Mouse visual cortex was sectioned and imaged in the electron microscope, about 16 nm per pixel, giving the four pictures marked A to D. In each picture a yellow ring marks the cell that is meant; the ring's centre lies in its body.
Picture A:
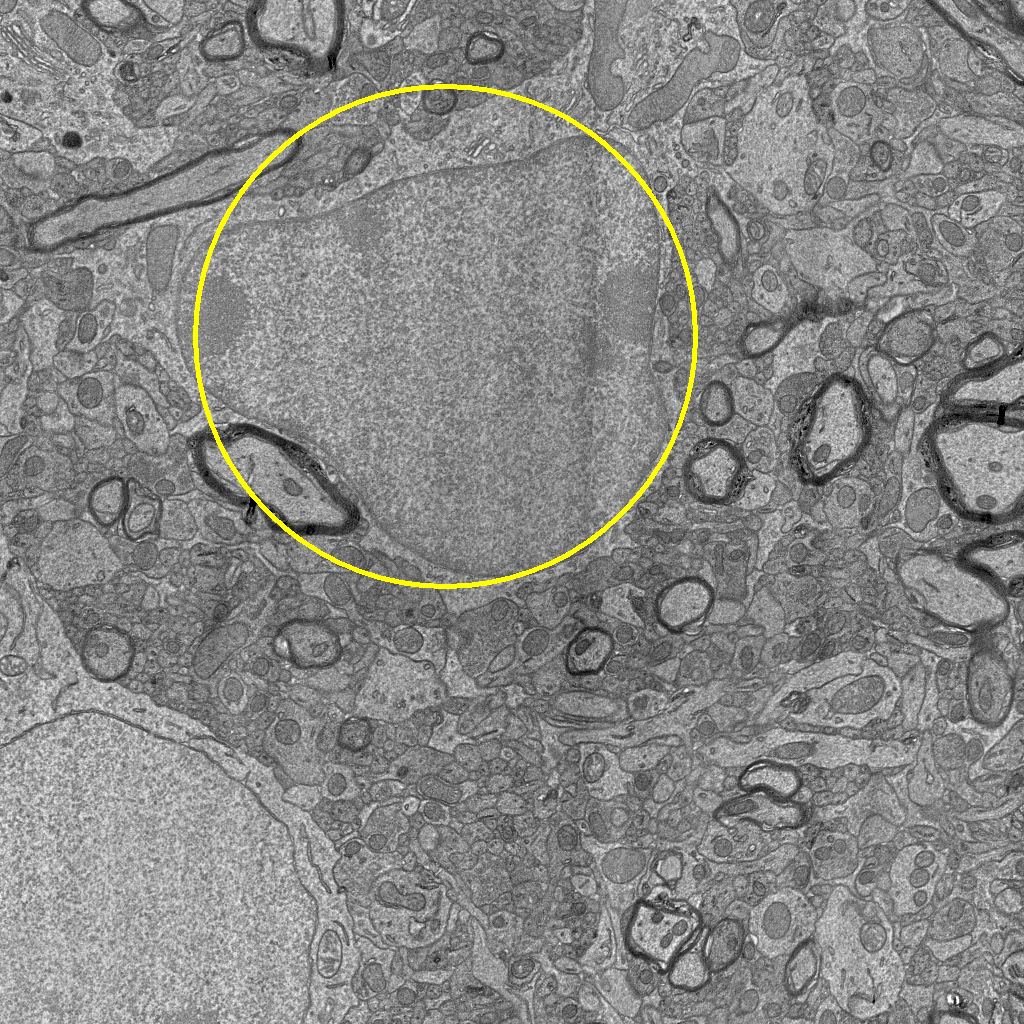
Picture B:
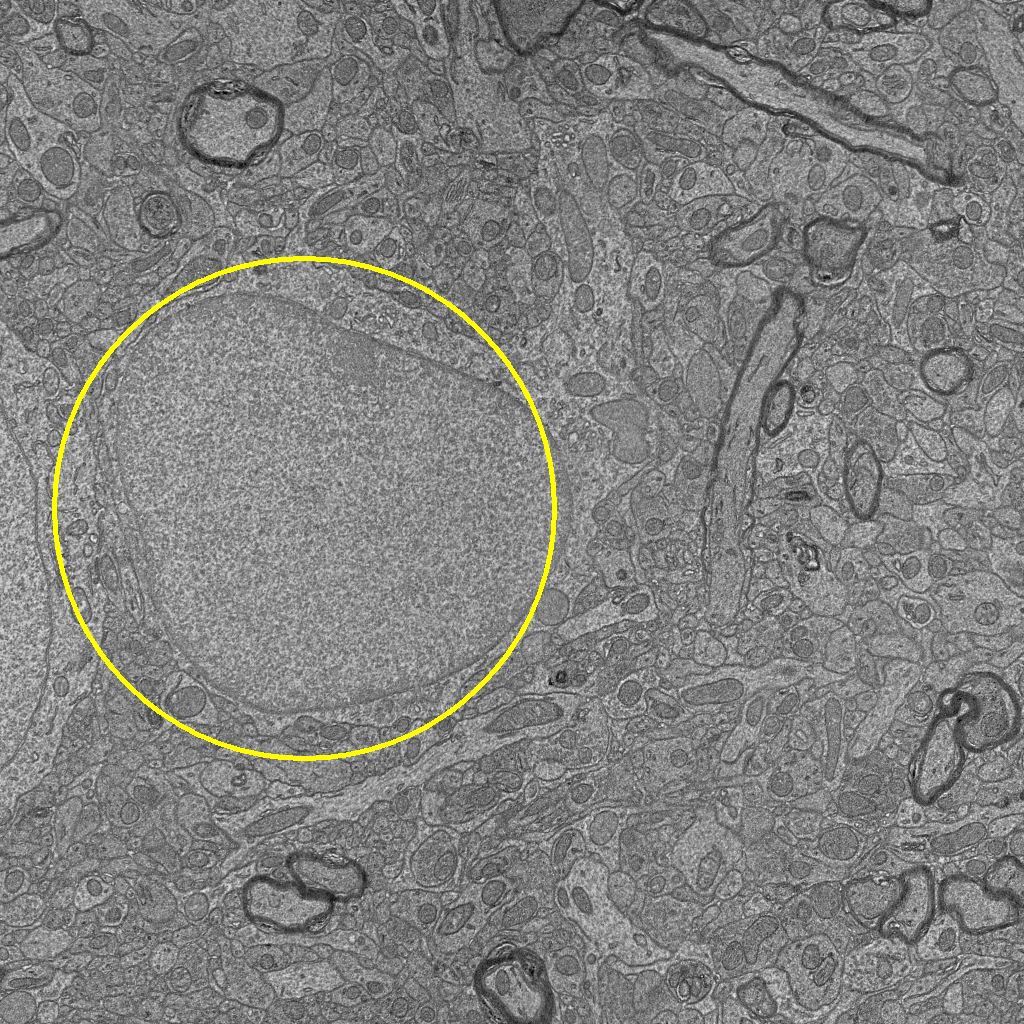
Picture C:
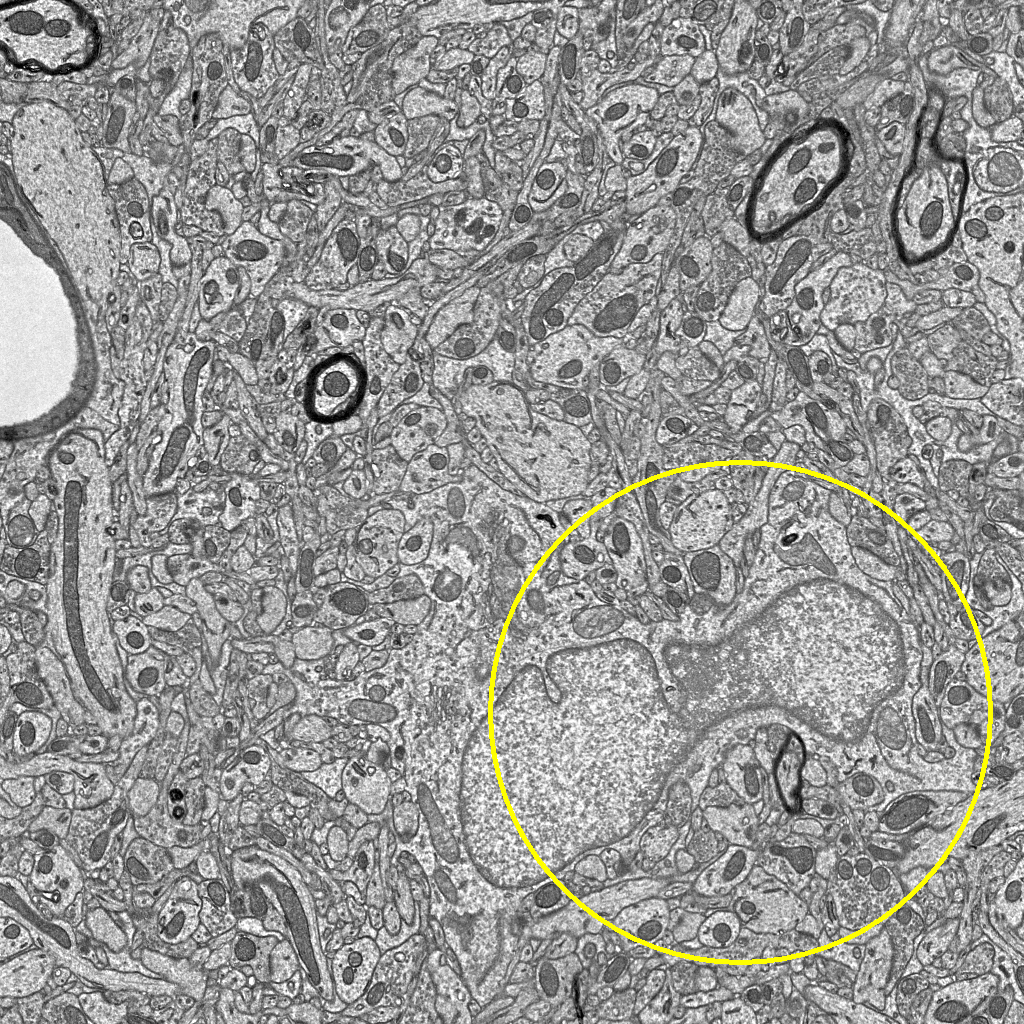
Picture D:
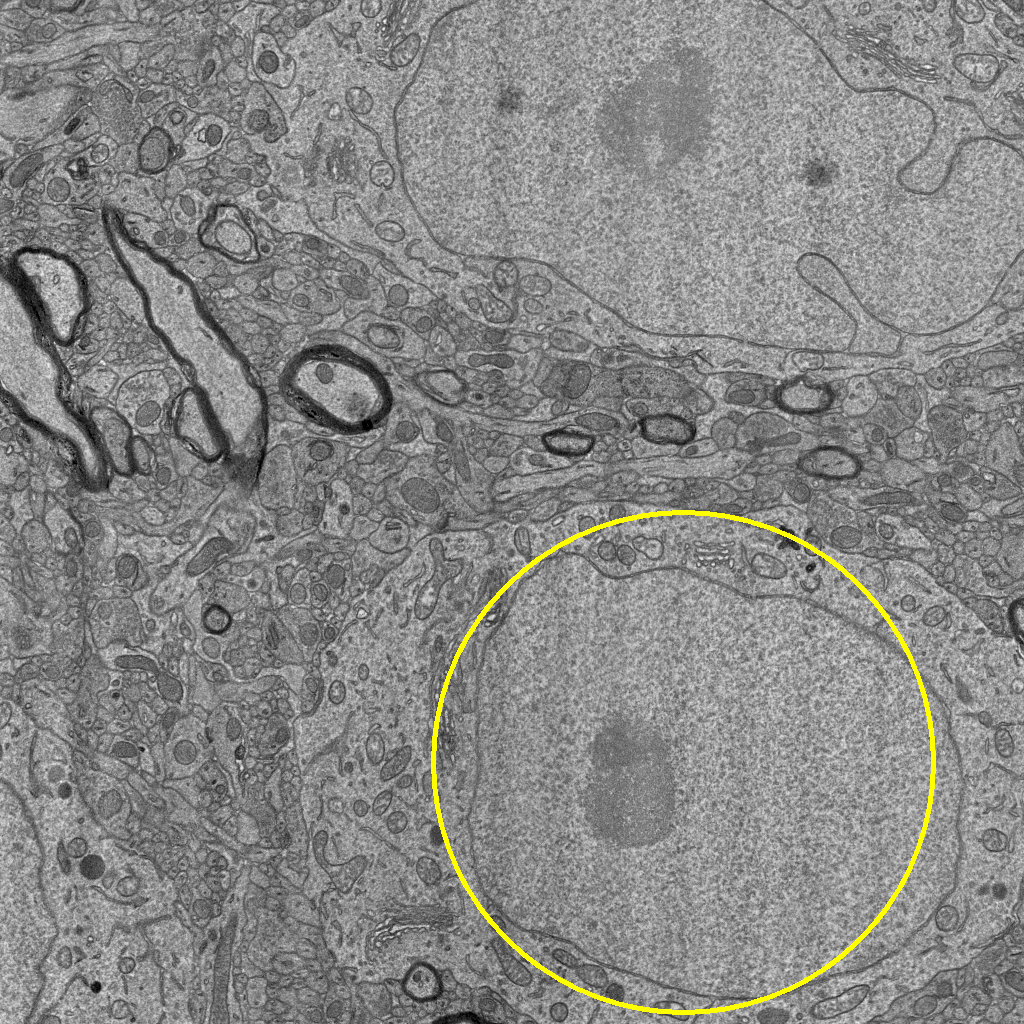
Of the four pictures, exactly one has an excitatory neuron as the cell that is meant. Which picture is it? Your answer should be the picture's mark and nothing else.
D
